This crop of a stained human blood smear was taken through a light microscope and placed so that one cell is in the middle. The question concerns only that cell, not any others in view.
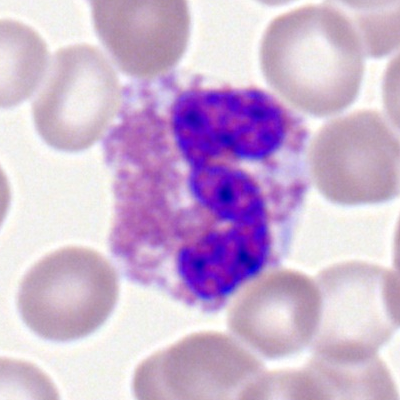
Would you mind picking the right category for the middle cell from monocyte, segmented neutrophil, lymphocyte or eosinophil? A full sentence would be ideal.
Framed in the middle of the crop is an eosinophil.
